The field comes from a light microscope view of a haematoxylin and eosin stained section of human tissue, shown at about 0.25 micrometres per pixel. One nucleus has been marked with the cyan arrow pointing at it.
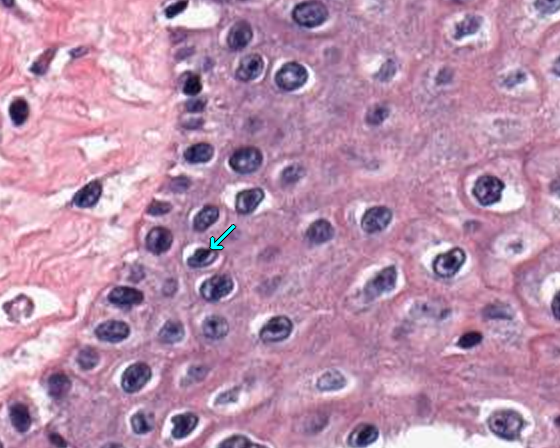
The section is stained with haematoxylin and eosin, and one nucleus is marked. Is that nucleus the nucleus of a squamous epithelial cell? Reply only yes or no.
yes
